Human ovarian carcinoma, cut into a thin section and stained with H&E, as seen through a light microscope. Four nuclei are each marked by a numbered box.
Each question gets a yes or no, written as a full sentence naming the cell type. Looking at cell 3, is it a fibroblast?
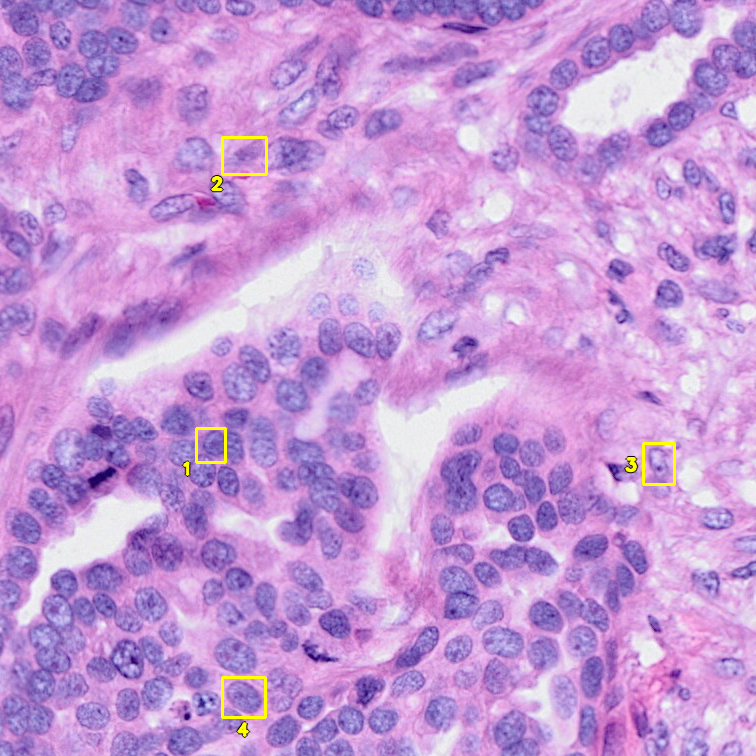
Yes, that is correct: the cell numbered 3 is a fibroblast.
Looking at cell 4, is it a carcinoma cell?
Yes, exactly, the cell numbered 4 is a carcinoma cell.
